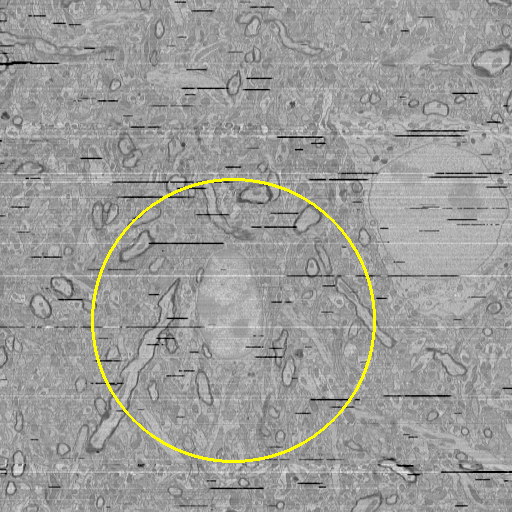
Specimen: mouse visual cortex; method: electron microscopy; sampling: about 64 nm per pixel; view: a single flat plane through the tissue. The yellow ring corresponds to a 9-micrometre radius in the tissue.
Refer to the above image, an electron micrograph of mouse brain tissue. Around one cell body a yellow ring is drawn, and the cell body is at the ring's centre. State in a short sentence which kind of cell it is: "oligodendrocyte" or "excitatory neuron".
The centre of the ring falls on an oligodendrocyte.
